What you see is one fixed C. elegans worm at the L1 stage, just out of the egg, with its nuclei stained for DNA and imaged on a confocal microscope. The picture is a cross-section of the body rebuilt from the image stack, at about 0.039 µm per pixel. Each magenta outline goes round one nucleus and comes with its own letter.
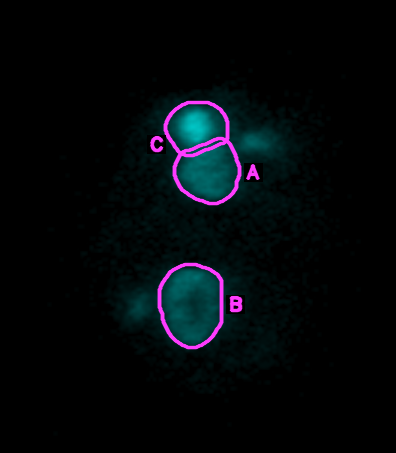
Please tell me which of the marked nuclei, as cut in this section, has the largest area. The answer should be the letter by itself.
B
